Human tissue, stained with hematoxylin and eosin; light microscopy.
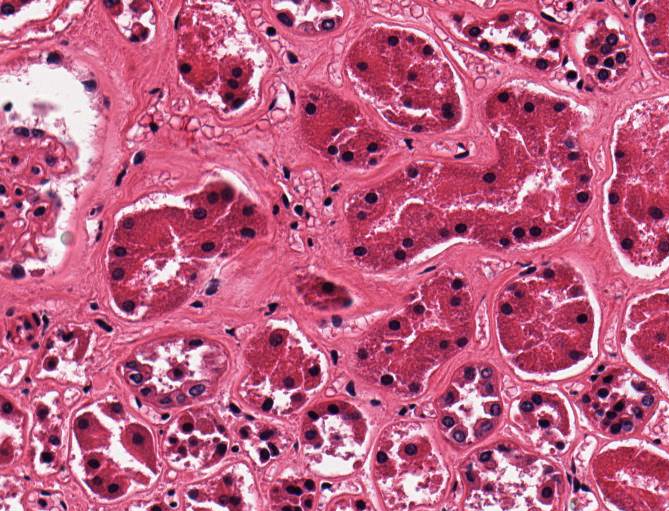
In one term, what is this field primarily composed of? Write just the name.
cortical labyrinth of the kidney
